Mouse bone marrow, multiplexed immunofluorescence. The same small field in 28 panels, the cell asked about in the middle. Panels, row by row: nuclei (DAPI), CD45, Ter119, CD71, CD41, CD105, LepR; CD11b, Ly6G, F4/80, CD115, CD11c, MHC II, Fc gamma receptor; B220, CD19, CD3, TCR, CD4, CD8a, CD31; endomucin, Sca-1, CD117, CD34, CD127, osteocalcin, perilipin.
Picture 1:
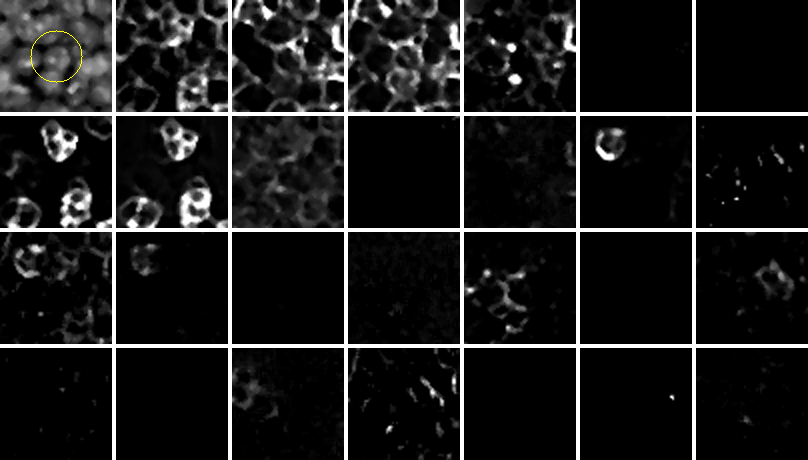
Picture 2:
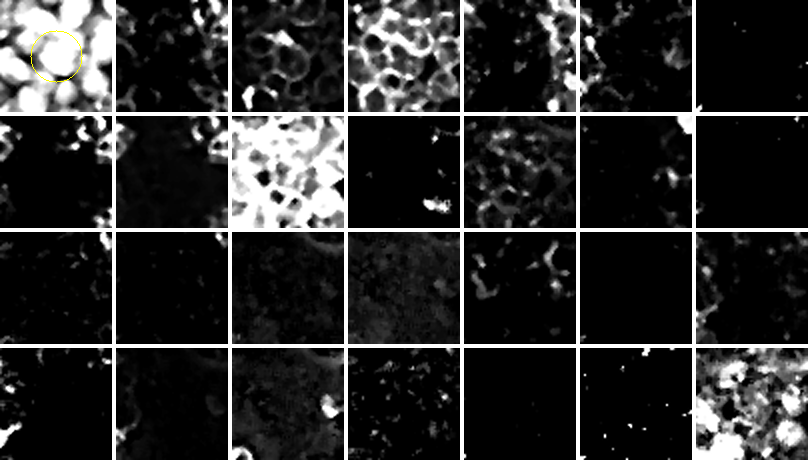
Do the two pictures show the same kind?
Yes, both are erythroblasts.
